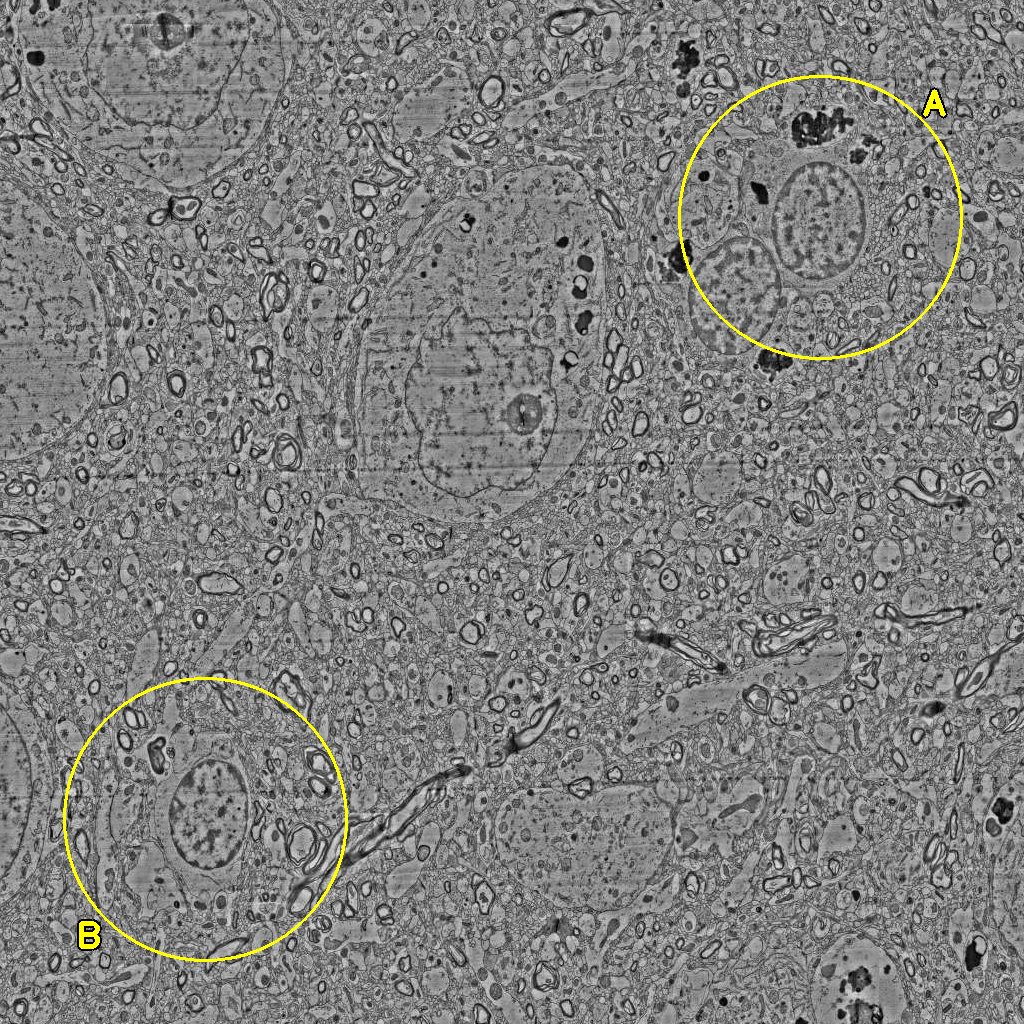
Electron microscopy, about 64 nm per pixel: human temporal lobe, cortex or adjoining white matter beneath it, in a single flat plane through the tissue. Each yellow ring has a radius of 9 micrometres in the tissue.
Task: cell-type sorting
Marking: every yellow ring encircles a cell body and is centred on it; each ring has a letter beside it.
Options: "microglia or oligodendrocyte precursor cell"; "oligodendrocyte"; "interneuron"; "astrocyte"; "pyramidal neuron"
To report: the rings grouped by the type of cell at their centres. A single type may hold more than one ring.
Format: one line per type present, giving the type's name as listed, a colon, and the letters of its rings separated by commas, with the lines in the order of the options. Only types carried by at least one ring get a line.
microglia or oligodendrocyte precursor cell: B
oligodendrocyte: A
